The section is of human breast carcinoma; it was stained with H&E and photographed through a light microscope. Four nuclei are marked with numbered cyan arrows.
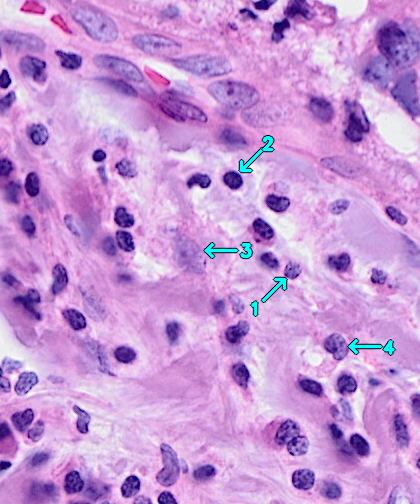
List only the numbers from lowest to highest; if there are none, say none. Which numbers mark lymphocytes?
2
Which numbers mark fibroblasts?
3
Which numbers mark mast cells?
1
